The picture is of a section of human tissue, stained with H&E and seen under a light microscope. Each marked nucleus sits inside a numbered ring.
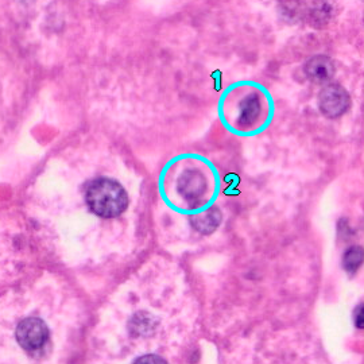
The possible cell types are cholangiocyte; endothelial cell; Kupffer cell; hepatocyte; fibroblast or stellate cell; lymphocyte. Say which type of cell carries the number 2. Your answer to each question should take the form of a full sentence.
In the tissue shown, cell 2 is a hepatocyte.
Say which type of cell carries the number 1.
The numeral 1 marks an endothelial cell in this section.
